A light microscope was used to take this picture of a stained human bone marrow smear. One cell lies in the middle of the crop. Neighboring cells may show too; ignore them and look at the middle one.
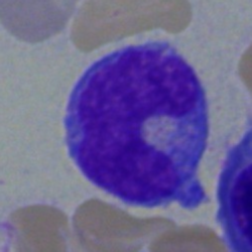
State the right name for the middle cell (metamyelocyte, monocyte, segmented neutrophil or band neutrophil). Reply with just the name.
monocyte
